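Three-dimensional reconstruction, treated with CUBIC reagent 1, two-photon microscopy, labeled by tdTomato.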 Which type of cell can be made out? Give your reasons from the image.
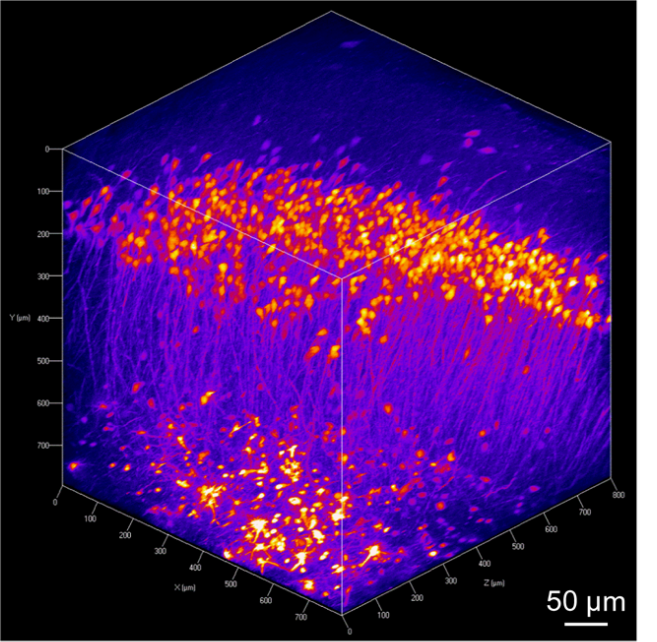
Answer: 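A dense band of bright cell bodies forms a layer across the volume. Long, parallel processes extend from the band in one direction.
Answer: pyramidal cells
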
